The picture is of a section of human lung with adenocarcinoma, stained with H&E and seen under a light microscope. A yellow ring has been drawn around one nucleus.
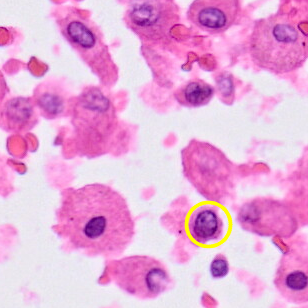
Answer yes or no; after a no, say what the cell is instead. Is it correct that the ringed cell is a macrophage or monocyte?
Yes.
